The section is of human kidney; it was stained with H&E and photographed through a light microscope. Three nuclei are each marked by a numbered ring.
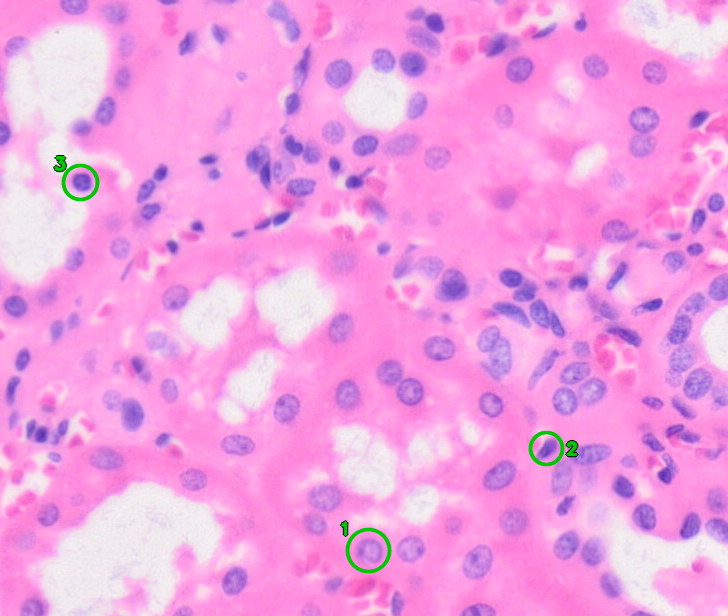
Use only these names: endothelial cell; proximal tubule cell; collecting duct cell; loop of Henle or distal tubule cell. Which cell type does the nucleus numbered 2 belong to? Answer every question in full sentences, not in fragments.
Number 2 among the marked cells is an endothelial cell.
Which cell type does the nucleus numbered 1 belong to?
The cell marked with number 1 is a proximal tubule cell.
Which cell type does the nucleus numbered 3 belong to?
In the marked set, the cell given number 3 is a loop of Henle or distal tubule cell.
